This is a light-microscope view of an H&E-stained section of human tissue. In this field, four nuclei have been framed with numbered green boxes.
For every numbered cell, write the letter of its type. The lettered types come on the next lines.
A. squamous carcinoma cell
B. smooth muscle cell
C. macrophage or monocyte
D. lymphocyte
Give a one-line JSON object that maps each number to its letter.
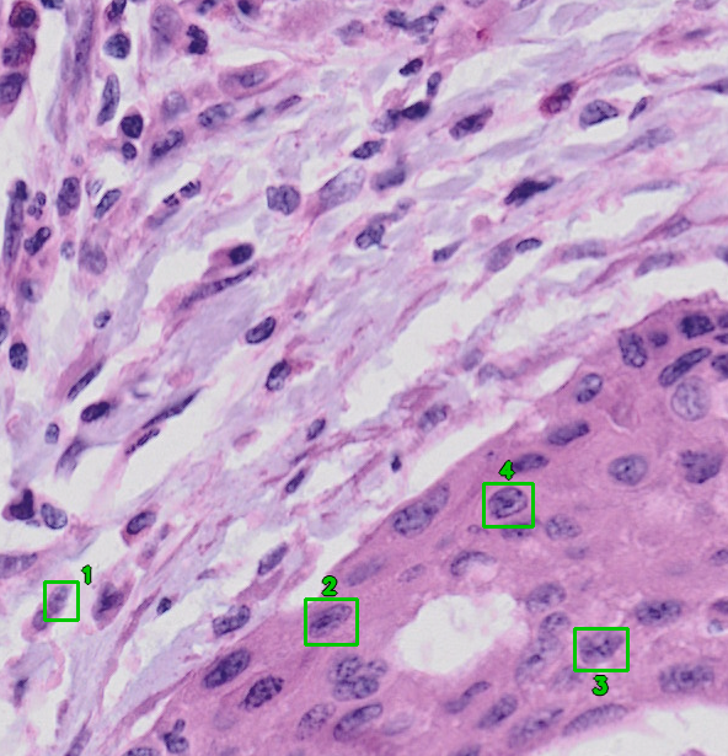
{"1": "C", "2": "A", "3": "A", "4": "A"}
